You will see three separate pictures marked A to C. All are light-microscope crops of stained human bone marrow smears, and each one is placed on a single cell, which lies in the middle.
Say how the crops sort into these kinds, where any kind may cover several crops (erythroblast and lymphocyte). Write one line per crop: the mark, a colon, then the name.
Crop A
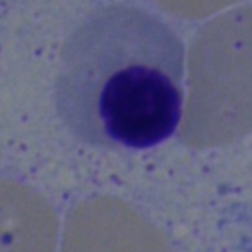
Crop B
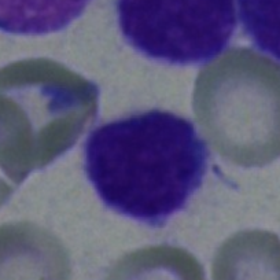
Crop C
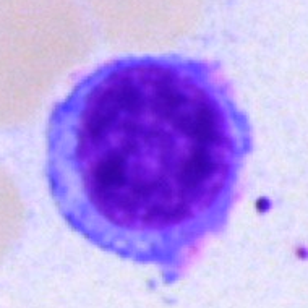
A: erythroblast
B: lymphocyte
C: lymphocyte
